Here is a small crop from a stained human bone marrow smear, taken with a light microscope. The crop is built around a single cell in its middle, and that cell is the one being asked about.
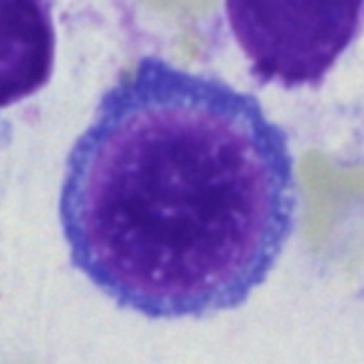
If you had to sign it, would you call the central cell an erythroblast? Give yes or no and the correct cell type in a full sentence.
Yes, this is an erythroblast, the cell in the middle of the crop.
